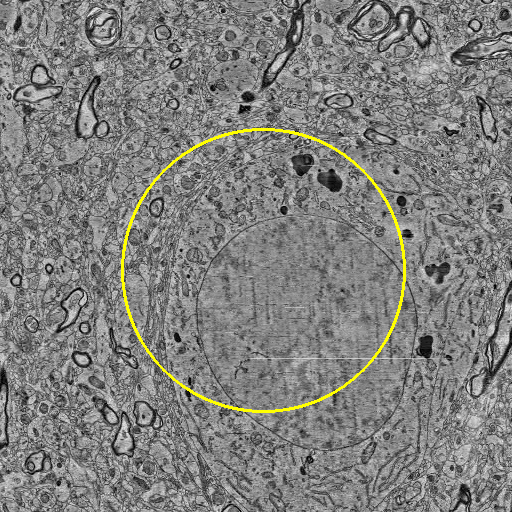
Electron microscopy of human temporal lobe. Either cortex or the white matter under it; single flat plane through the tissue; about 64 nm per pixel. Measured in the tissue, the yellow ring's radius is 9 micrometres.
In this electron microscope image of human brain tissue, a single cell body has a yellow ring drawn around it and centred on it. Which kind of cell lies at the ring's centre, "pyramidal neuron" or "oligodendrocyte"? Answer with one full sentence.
It is a pyramidal neuron whose cell body lies at the centre of the yellow ring here.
